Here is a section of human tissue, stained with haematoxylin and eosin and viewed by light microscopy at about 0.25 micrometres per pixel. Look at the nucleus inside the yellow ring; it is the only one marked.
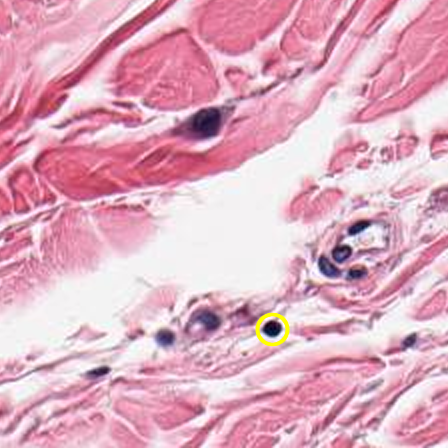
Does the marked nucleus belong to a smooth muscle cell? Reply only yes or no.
no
